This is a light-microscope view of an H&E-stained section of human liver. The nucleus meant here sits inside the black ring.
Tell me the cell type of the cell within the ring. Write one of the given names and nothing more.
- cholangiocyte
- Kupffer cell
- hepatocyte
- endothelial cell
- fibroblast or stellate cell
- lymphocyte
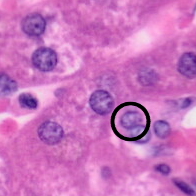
cholangiocyte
